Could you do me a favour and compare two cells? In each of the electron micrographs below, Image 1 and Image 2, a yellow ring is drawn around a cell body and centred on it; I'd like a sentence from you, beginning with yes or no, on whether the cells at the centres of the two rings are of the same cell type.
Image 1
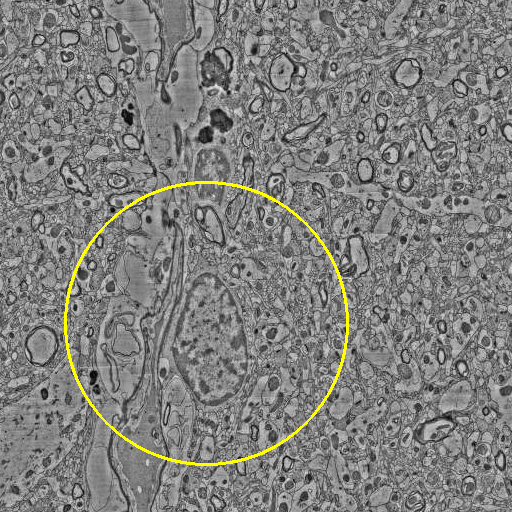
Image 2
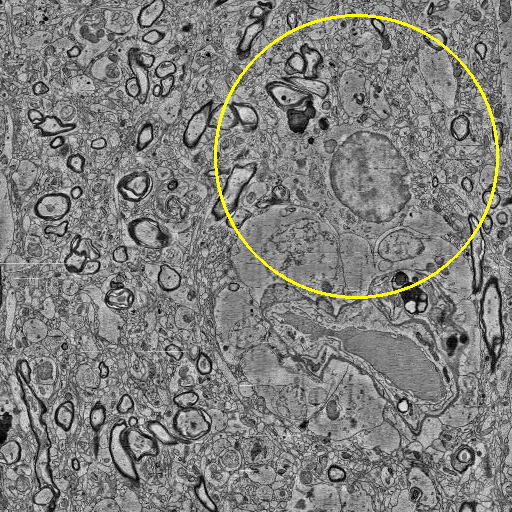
Yes, the two cells are of the same cell type.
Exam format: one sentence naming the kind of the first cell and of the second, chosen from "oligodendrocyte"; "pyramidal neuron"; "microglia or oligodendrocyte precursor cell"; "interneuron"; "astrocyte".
In each of the two pictures, the ringed cell is an oligodendrocyte.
